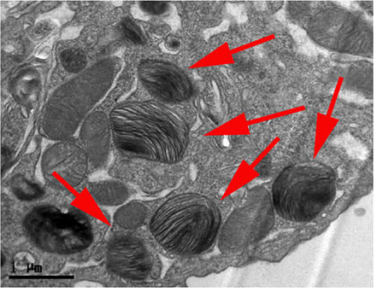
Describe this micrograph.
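Cytoplasm of an alveolar epithelial cell at high magnification. Numerous round to oval lamellar bodies, about one micrometre across, fill the field; each is membrane-bound and packed with closely stacked, parallel or gently curved electron-dense lamellae, some with a darker homogeneous region. Smaller oval mitochondria with grey matrix and cristae lie between them, alongside profiles of endoplasmic reticulum. The lamellar bodies appear intact, densely filled and well delimited, with little empty space in their interiors. A pale extracellular space borders the cell at the lower right.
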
